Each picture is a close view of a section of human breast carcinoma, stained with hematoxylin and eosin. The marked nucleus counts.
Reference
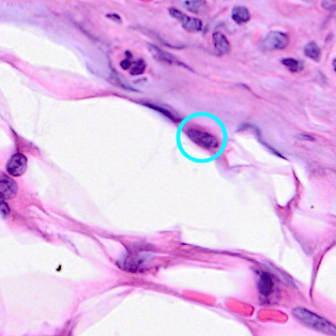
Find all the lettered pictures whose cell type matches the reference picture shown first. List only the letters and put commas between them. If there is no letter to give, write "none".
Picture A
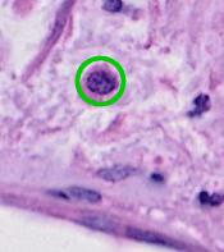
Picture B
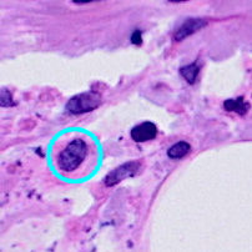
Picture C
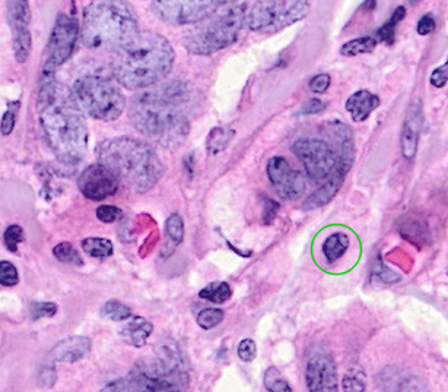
A, B, C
